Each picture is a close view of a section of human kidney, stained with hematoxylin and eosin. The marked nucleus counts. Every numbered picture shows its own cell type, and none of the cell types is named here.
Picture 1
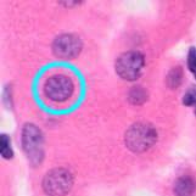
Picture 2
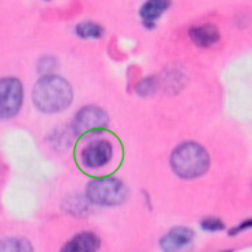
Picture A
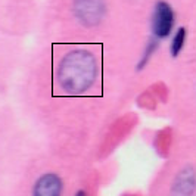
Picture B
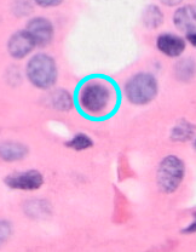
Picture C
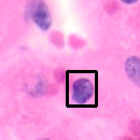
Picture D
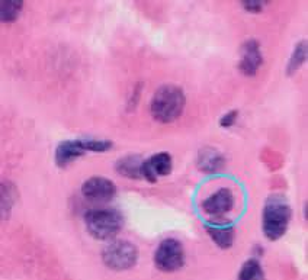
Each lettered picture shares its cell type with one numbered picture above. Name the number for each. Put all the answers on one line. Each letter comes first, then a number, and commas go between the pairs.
A 1, B 2, C 1, D 2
